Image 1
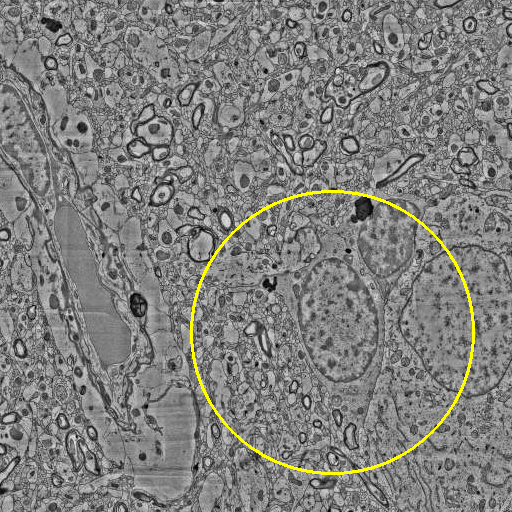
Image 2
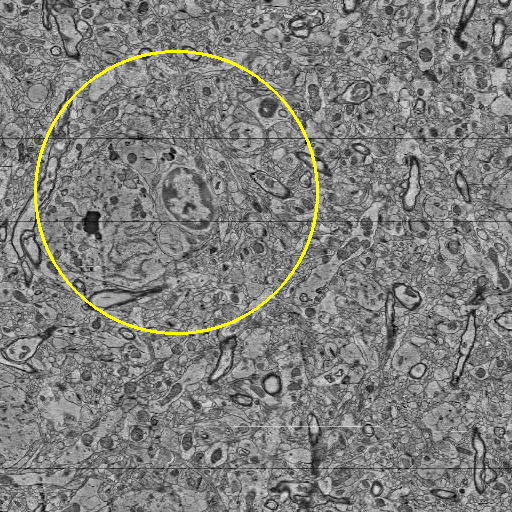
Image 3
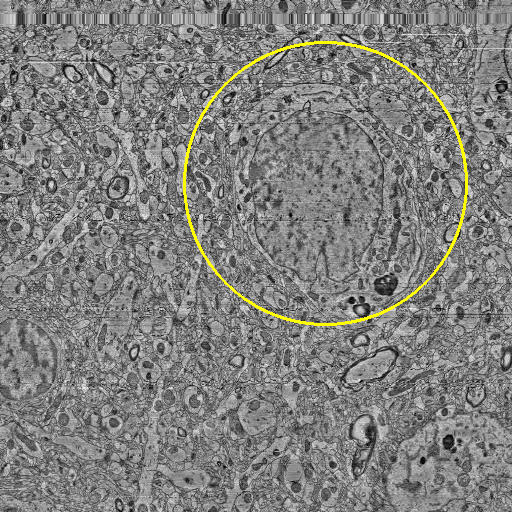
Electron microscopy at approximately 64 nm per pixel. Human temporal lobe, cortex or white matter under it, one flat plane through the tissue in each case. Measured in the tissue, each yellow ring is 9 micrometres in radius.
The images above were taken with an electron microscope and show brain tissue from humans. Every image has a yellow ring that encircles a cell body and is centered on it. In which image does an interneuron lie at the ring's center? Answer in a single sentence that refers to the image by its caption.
In Image 3, the cell at the center of the yellow ring is the correct match.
